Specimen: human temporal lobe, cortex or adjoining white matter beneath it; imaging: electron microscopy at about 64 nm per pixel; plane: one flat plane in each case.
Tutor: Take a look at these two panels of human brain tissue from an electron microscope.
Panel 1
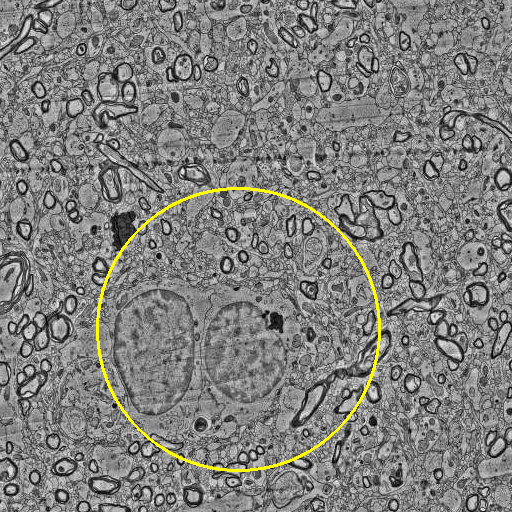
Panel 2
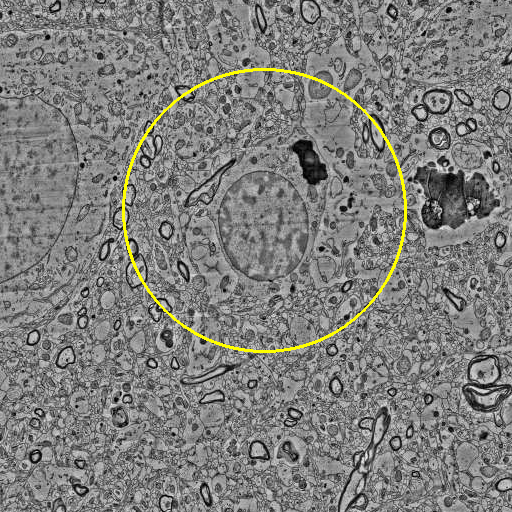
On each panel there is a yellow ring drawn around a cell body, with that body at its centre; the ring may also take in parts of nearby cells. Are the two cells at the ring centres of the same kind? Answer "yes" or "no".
yes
